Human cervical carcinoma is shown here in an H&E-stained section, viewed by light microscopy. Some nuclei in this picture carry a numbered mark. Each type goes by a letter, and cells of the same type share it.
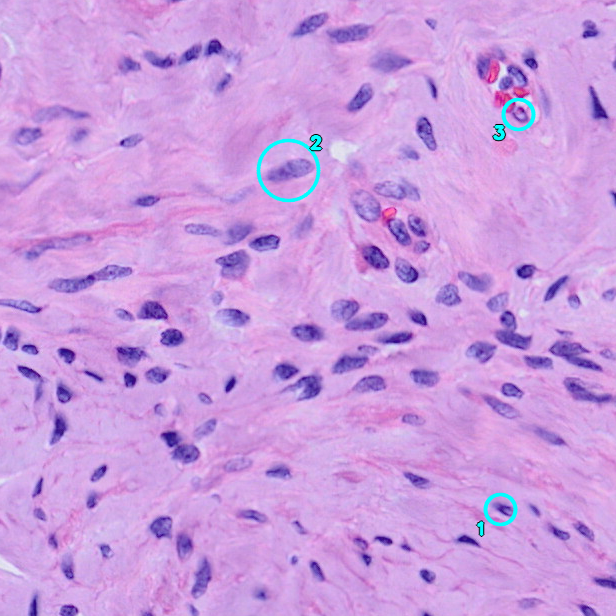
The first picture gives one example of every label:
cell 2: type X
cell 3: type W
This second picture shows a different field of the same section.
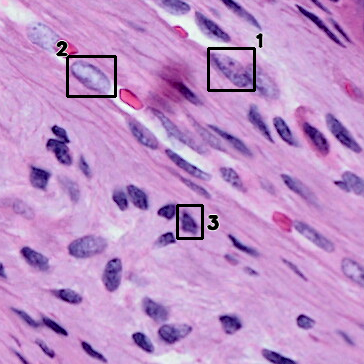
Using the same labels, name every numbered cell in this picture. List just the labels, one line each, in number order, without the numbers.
type W
type W
type X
